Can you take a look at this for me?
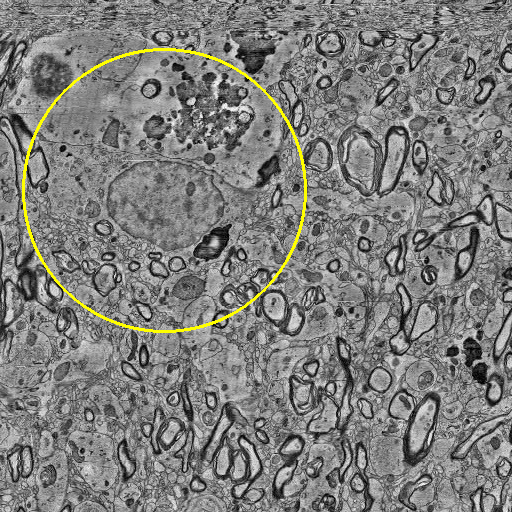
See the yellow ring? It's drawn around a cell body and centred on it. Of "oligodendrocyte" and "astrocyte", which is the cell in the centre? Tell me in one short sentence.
The one in the centre is an oligodendrocyte.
